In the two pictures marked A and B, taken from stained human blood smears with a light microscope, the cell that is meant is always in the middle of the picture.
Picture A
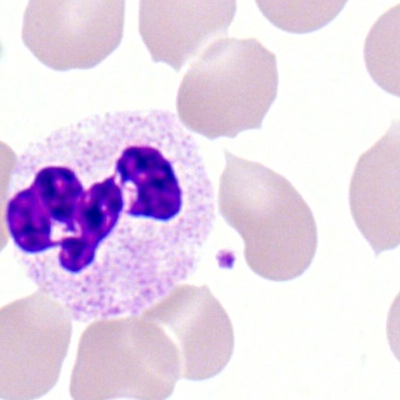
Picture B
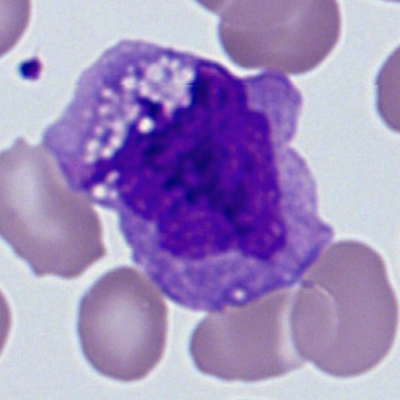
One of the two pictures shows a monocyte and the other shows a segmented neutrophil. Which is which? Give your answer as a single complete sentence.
It is picture A that shows a segmented neutrophil, and picture B that shows a monocyte.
